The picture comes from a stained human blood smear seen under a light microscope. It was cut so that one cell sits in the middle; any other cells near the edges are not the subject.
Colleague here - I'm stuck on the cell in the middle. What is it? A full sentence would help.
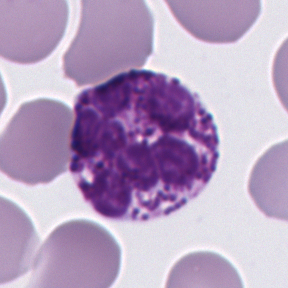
The centrally located cell in the crop is a basophil.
